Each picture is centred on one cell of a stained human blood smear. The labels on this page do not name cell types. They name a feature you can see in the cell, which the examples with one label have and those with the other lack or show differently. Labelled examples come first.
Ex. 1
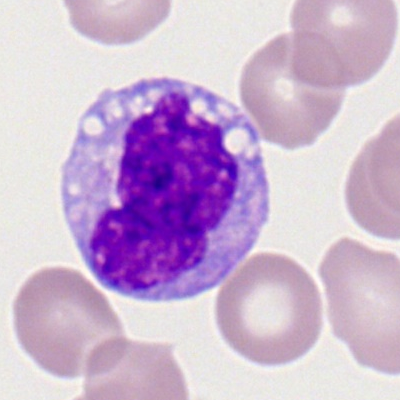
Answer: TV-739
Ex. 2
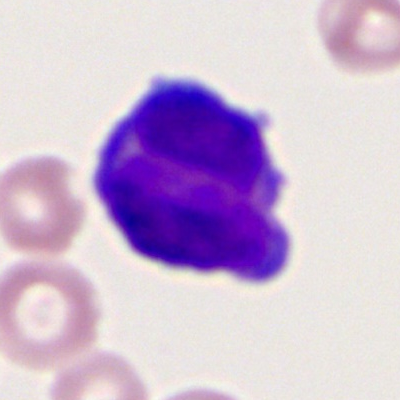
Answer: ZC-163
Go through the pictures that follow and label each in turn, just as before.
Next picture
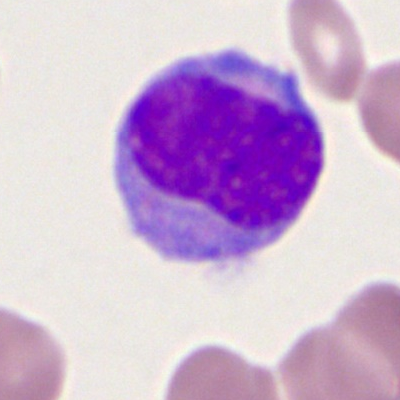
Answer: ZC-163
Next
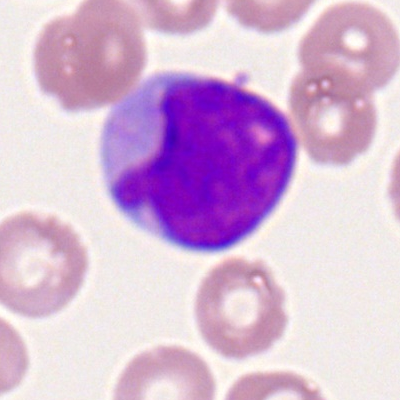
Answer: ZC-163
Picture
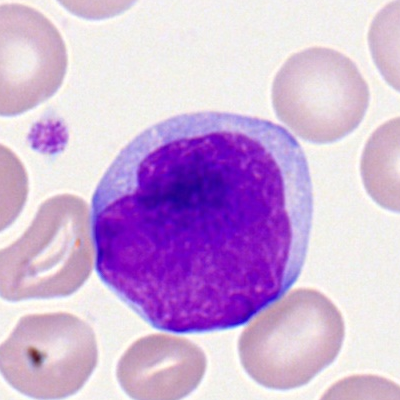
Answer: TV-739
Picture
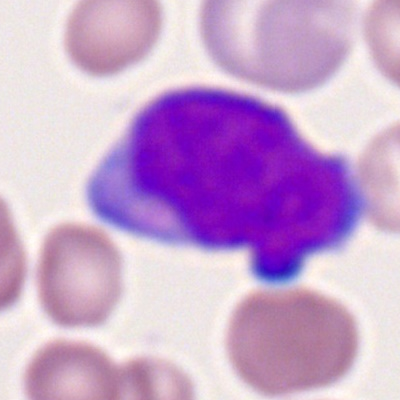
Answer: ZC-163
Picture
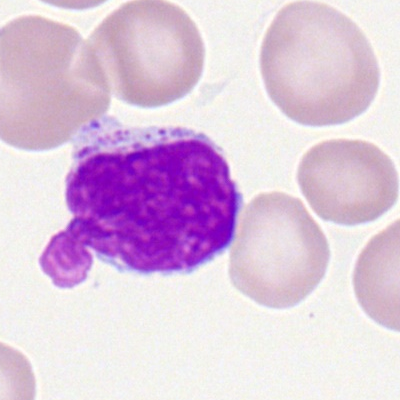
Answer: ZC-163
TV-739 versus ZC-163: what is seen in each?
In TV-739: smooth outline. In ZC-163: ragged outline or projections.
